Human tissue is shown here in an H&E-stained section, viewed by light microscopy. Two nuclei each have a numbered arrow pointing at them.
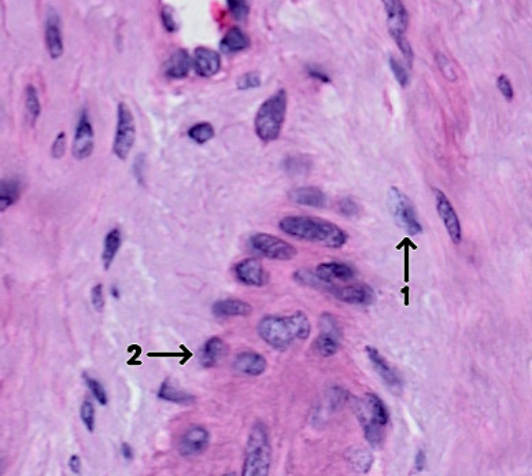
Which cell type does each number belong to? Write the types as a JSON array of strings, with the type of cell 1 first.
["fibroblast", "smooth muscle cell"]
